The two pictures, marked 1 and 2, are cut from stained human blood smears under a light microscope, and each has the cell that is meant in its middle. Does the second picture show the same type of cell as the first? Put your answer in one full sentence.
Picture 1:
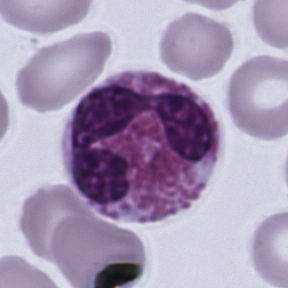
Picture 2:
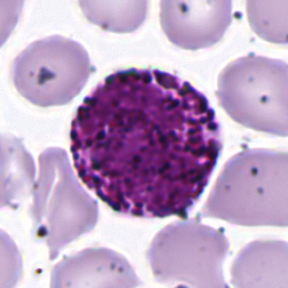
No, picture 1 shows an eosinophil and picture 2 shows a basophil.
